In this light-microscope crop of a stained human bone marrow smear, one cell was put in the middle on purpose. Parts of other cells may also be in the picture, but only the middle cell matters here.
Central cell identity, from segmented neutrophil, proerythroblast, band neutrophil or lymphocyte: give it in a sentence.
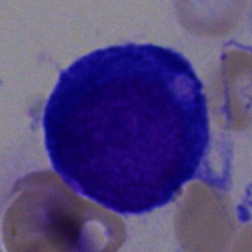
The cell at the middle of the crop is recognized as a proerythroblast.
